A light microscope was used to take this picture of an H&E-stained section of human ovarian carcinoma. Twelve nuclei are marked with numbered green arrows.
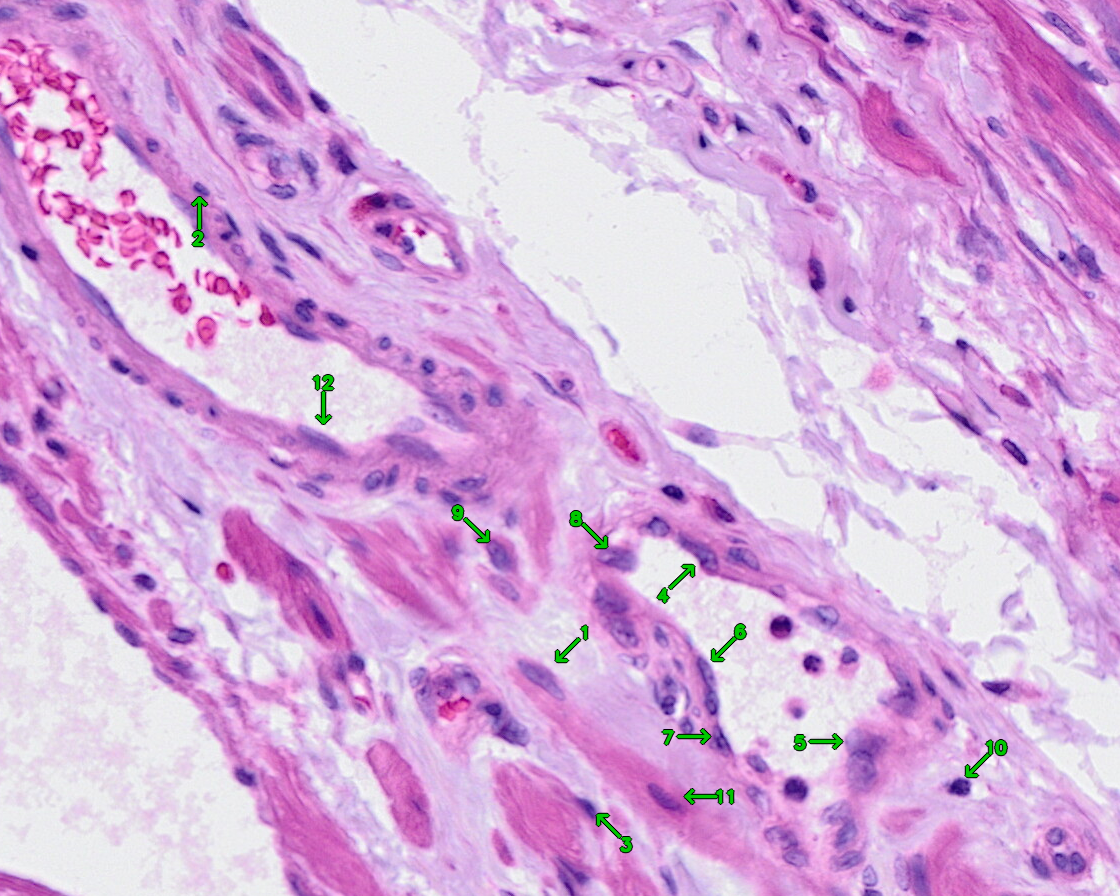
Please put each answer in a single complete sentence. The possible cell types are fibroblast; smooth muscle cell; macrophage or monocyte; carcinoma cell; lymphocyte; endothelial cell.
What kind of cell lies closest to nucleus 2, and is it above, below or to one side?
Lying below nucleus 2, the nearest nucleus is that of an endothelial cell.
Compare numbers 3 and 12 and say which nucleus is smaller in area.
With nucleus 12 about 2.5 times its size, nucleus 3 is the smaller of the two.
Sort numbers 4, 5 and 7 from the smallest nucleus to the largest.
The order from the smallest nucleus to the largest is 7, 4, 5.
